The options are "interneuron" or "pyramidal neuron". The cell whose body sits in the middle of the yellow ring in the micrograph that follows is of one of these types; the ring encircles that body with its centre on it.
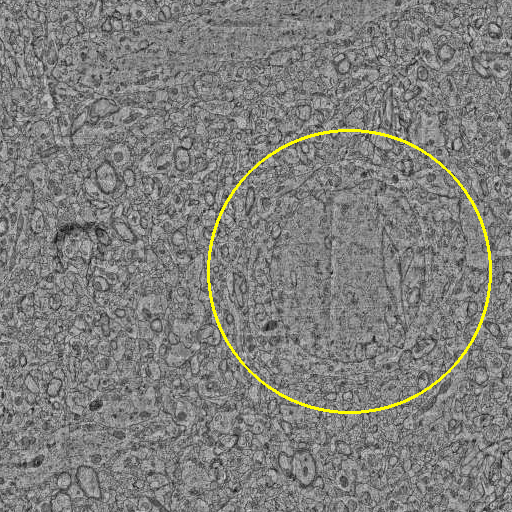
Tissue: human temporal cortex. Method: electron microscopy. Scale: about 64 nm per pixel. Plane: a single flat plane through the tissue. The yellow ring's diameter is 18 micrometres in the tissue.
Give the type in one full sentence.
Going by the micrograph, the cell centred in the yellow ring is a pyramidal neuron.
